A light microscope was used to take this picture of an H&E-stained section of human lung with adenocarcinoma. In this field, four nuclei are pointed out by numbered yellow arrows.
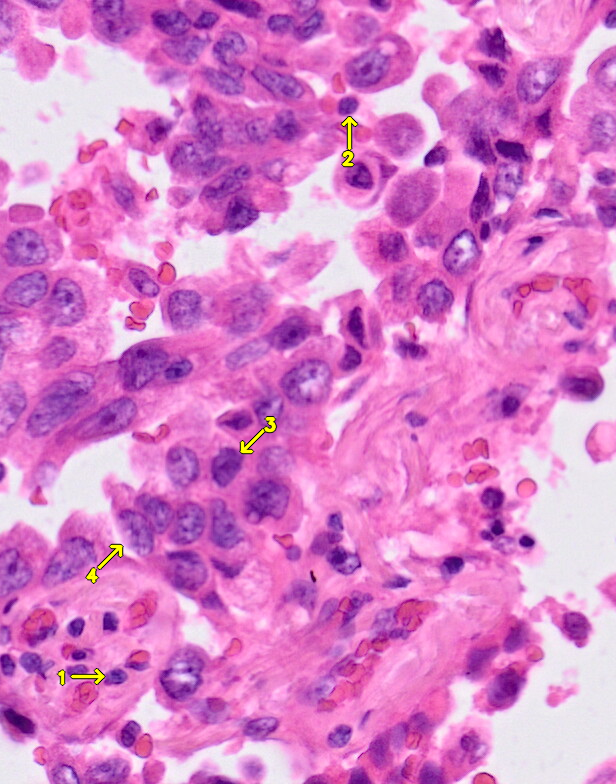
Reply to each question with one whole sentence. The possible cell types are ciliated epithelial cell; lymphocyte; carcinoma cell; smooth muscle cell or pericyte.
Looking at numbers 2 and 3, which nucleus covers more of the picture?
Of the two, number 3 is bigger and takes up about 3 times the area of number 2.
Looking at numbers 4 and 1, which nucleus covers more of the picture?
The larger nucleus is 4, at roughly 3 times the area of 1.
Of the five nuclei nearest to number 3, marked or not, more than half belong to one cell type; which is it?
Around number 3, most of the five nearest nuclei are those of carcinoma cells.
